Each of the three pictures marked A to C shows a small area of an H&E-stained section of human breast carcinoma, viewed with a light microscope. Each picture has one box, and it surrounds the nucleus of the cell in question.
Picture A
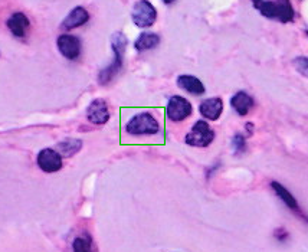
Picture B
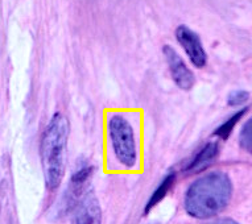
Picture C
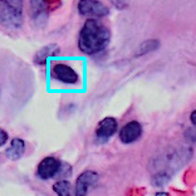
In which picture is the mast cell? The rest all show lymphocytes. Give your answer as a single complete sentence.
The cell in picture B is the mast cell.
